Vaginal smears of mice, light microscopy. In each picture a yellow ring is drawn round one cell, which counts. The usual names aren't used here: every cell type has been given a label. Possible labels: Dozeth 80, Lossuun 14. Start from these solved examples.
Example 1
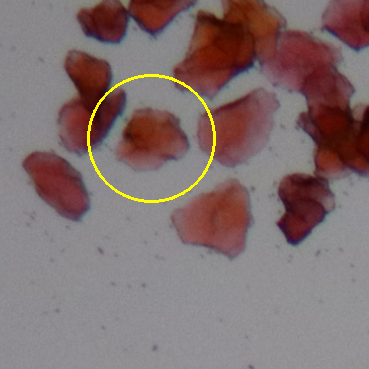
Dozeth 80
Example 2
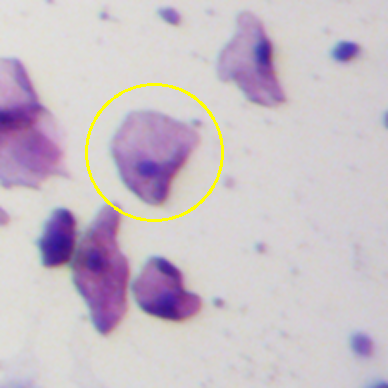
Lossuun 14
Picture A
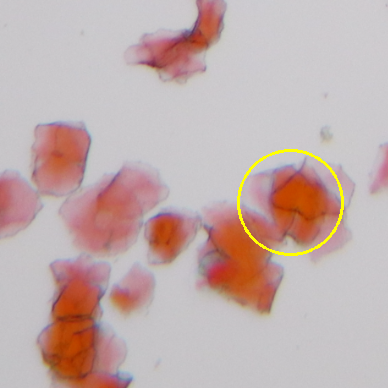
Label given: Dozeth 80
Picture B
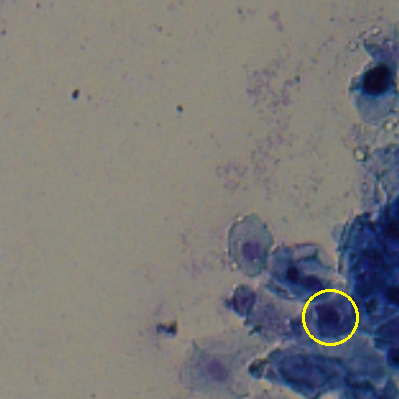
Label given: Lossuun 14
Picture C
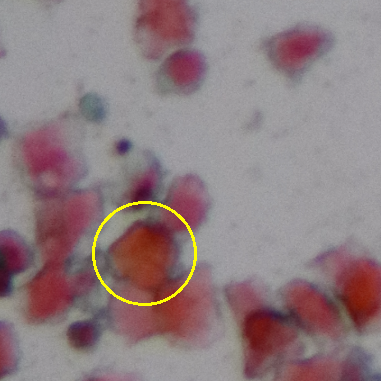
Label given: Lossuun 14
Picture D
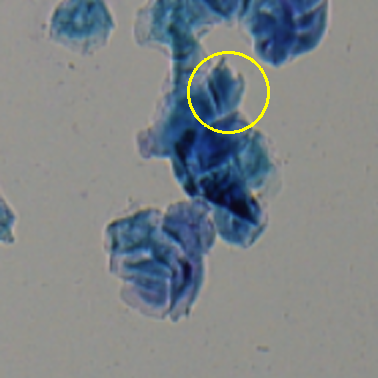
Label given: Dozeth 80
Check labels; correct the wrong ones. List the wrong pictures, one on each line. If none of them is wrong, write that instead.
C is labelled Lossuun 14; correct label: Dozeth 80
